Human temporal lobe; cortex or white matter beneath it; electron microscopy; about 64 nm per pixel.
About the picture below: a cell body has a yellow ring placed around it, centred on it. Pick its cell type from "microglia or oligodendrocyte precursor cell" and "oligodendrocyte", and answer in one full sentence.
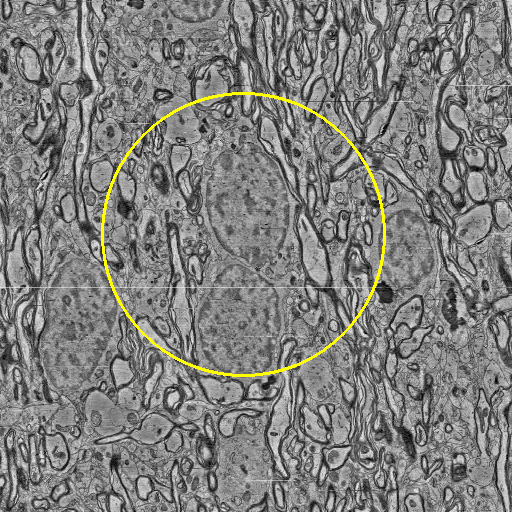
In the picture, an oligodendrocyte is the cell sitting at the centre of the yellow ring.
